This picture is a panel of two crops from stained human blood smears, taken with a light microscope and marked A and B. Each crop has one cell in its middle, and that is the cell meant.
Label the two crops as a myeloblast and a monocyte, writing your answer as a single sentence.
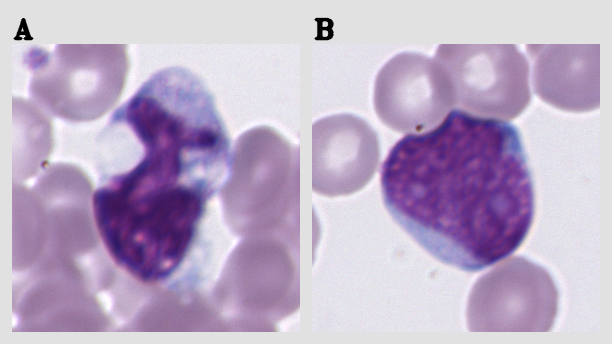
Crop A shows a monocyte, whereas crop B shows a myeloblast.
